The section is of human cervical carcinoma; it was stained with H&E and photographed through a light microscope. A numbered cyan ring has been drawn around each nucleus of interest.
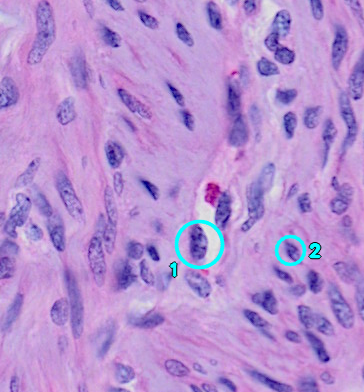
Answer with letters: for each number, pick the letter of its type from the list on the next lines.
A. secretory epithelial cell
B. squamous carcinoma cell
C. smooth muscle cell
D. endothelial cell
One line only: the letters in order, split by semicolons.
D; C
